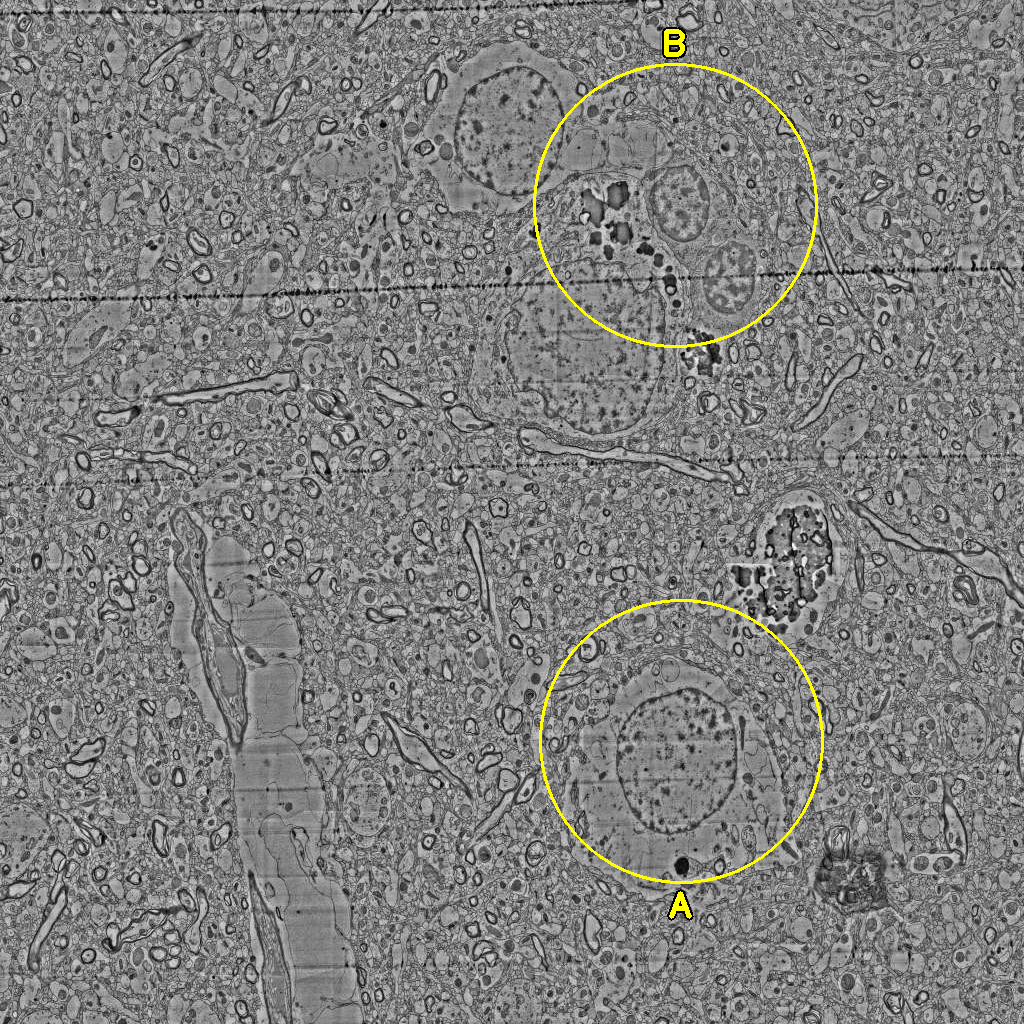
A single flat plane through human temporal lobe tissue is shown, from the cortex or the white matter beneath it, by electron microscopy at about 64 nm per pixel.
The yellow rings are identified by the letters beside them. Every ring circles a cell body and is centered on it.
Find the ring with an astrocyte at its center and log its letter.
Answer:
A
